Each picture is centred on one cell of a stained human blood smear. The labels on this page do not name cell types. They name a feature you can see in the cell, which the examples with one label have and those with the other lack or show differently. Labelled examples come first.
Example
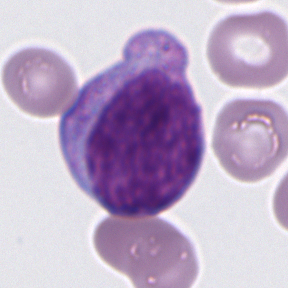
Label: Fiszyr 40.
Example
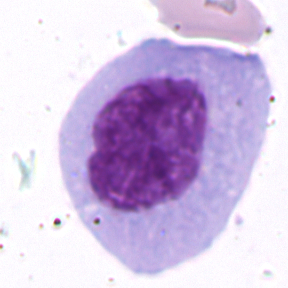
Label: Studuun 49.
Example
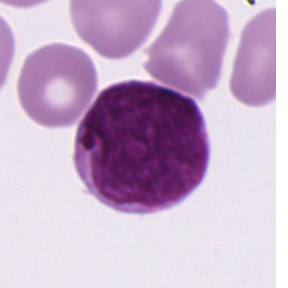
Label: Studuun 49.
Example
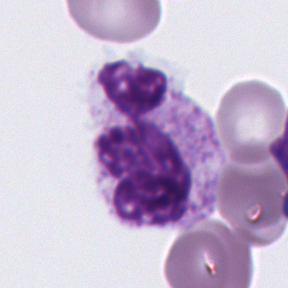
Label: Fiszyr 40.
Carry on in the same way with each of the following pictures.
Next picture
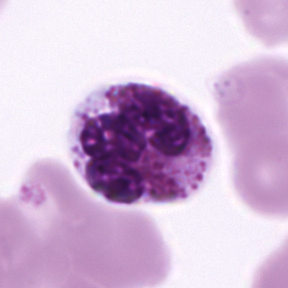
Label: Studuun 49.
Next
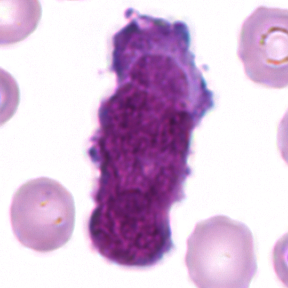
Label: Fiszyr 40.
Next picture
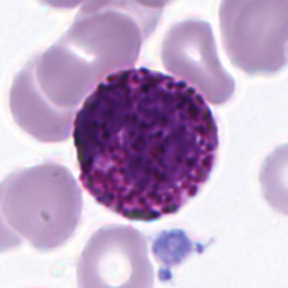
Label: Studuun 49.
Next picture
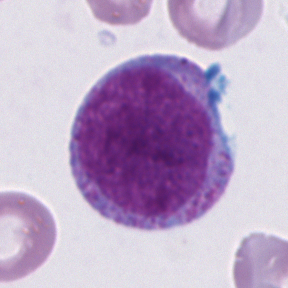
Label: Fiszyr 40.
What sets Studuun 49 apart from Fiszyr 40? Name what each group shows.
Seen in Studuun 49: smooth outline; seen in Fiszyr 40: ragged outline or projections.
